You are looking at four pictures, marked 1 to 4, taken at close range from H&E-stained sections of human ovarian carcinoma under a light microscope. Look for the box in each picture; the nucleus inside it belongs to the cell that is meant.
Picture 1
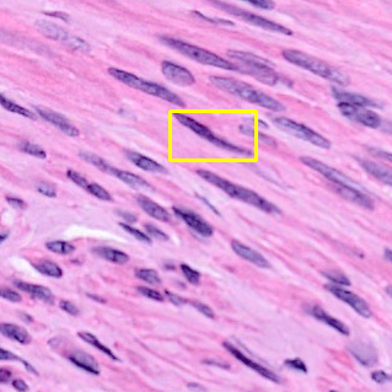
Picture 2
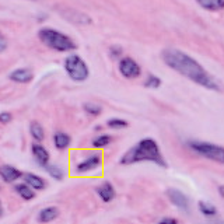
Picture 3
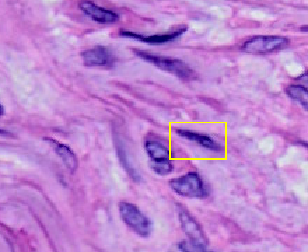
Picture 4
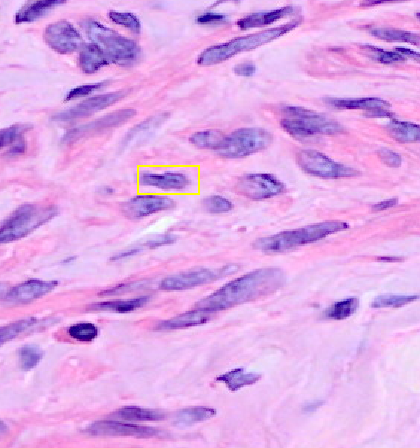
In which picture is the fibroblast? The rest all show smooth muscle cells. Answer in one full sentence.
The fibroblast is the one in picture 3.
